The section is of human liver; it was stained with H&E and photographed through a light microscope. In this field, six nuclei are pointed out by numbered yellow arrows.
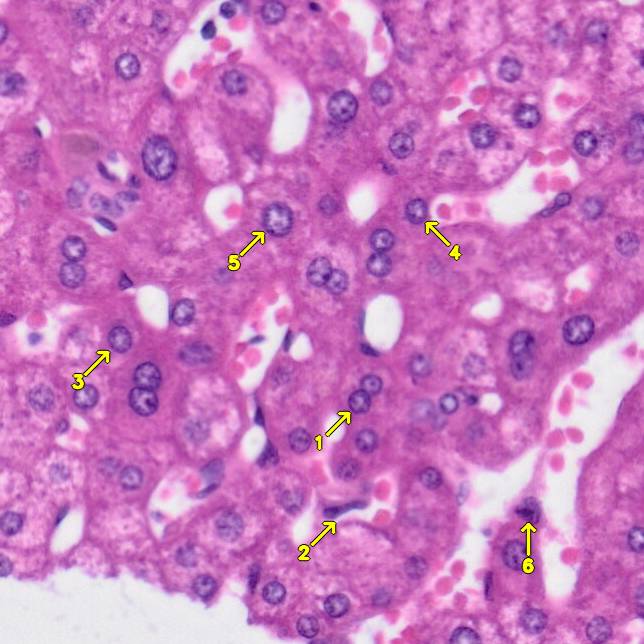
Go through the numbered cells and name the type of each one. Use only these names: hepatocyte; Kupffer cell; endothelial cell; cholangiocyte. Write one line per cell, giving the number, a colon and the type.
1: hepatocyte
2: Kupffer cell
3: hepatocyte
4: hepatocyte
5: hepatocyte
6: Kupffer cell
